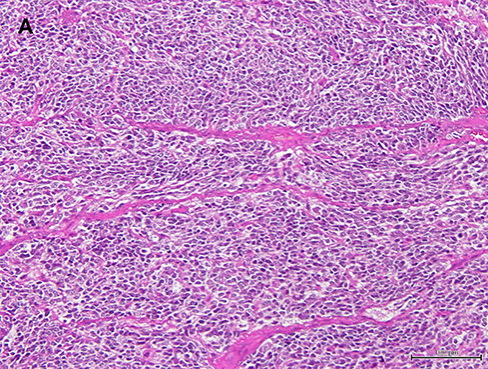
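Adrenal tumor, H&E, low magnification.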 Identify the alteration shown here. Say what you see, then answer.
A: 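Only a few thin pink collagen strands cross the sheet of cells. Cells far outweigh any connective tissue. That points to this answer: very poor stroma.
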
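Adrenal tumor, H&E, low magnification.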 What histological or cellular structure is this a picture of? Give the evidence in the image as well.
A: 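Densely packed small cells fill the field. Thin pink fibrous bands separate loose groups of cells without sharp borders. The answer: ill-defined lobules.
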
